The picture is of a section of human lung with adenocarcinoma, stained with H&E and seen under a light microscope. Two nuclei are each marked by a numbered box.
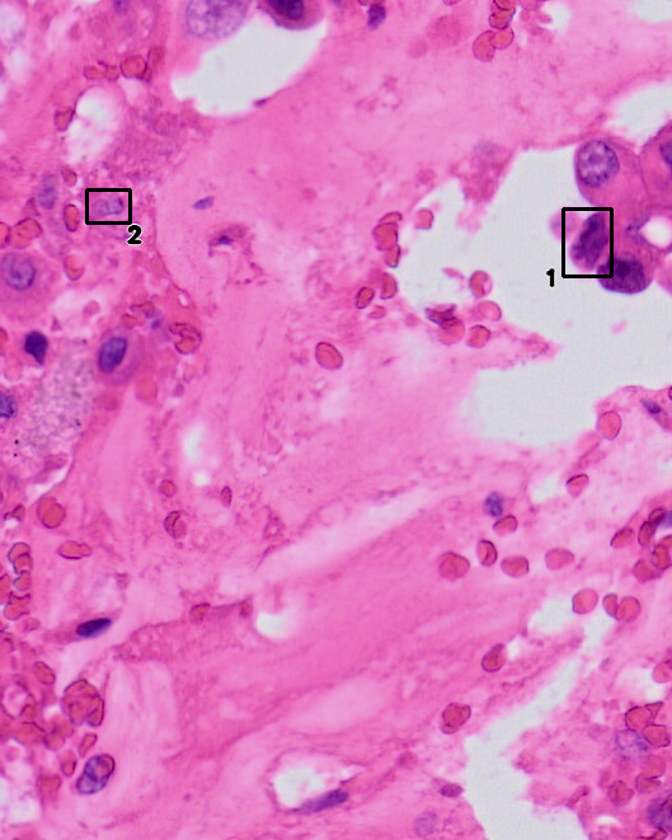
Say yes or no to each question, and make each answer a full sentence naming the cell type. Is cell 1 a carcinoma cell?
Yes, a carcinoma cell is what the cell numbered 1 is.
